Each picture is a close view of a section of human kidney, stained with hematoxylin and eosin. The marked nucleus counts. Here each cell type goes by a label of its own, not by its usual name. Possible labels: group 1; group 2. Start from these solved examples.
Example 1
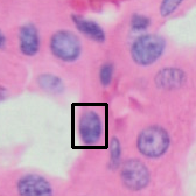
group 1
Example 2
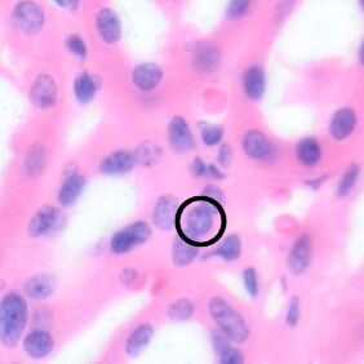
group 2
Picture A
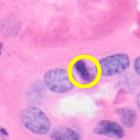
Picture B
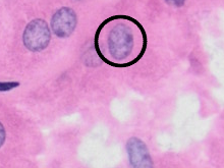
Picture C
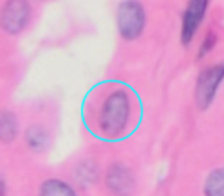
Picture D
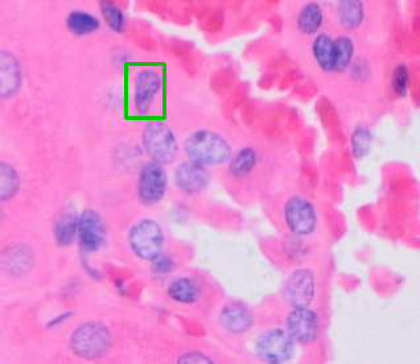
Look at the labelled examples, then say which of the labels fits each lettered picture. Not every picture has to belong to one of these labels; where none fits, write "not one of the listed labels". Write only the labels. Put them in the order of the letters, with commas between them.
group 2, not one of the listed labels, group 1, group 2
